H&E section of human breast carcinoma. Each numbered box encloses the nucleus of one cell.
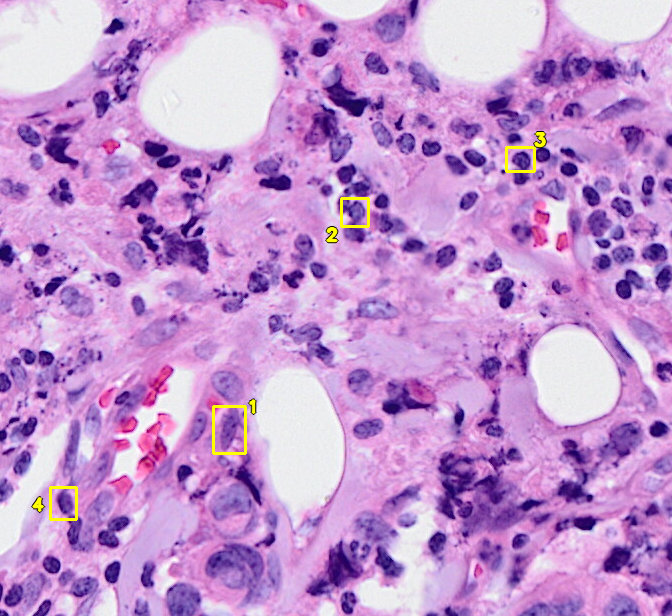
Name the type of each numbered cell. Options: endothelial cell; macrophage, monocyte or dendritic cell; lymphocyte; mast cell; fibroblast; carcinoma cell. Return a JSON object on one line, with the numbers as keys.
{"1": "endothelial cell", "2": "lymphocyte", "3": "lymphocyte", "4": "lymphocyte"}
